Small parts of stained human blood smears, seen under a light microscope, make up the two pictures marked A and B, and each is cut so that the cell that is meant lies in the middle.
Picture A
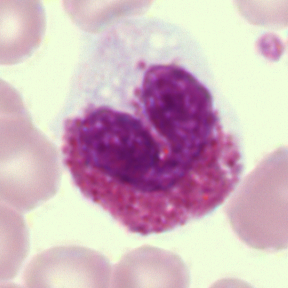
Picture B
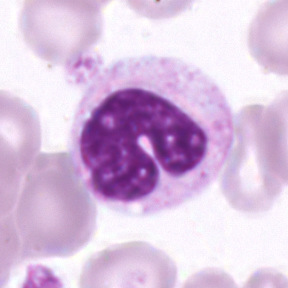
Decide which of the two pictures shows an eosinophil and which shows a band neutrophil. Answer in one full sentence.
It is picture A that shows an eosinophil, and picture B that shows a band neutrophil.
